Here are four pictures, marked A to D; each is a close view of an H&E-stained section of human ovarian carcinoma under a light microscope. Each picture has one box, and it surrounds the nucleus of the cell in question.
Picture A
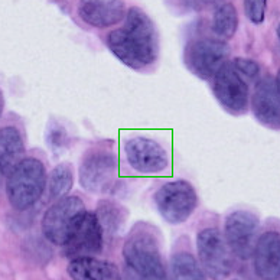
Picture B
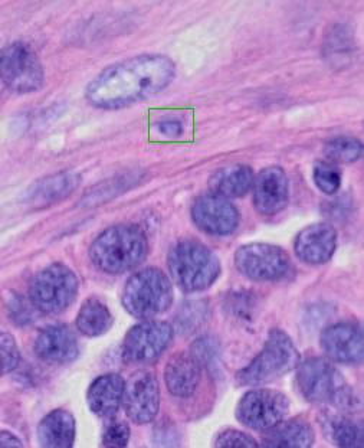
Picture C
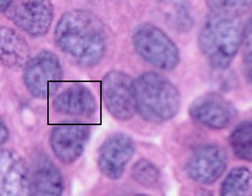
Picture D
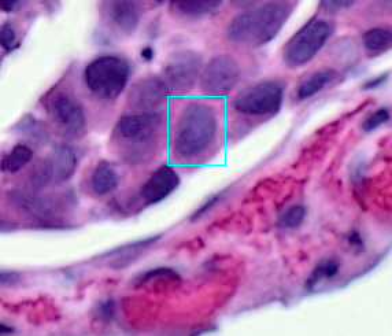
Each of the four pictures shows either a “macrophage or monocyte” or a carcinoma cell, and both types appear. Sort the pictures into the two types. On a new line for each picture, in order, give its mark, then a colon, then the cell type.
A: macrophage or monocyte
B: macrophage or monocyte
C: carcinoma cell
D: carcinoma cell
